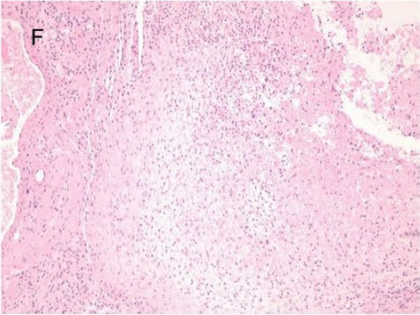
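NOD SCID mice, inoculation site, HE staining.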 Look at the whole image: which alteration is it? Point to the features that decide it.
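Necrotic. Surrounded by more cellular pink tissue with scattered nuclei.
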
